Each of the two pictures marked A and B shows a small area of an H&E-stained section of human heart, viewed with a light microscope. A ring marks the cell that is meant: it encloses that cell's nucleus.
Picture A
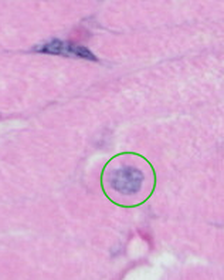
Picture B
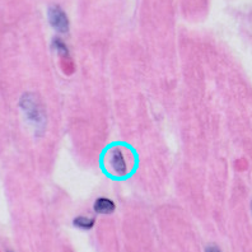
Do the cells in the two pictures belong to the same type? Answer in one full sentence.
No, they differ: the cell is a cardiomyocyte in picture A and a fibroblast in picture B.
